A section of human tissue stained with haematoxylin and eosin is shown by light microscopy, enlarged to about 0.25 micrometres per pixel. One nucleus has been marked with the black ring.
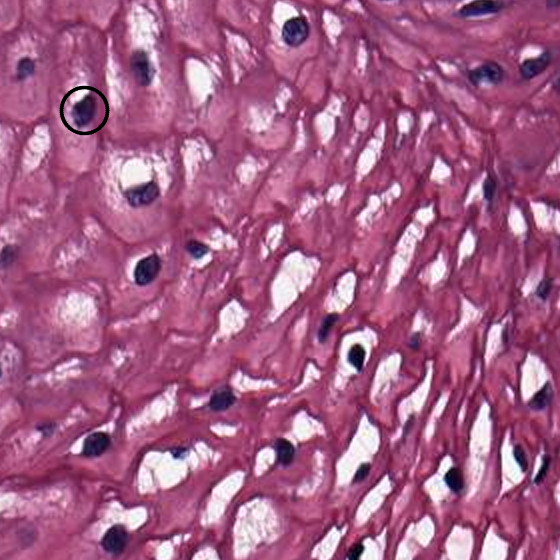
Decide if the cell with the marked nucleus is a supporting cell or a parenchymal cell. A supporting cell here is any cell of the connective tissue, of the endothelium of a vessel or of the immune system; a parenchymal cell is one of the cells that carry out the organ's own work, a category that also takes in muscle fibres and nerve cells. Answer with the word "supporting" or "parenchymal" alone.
parenchymal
